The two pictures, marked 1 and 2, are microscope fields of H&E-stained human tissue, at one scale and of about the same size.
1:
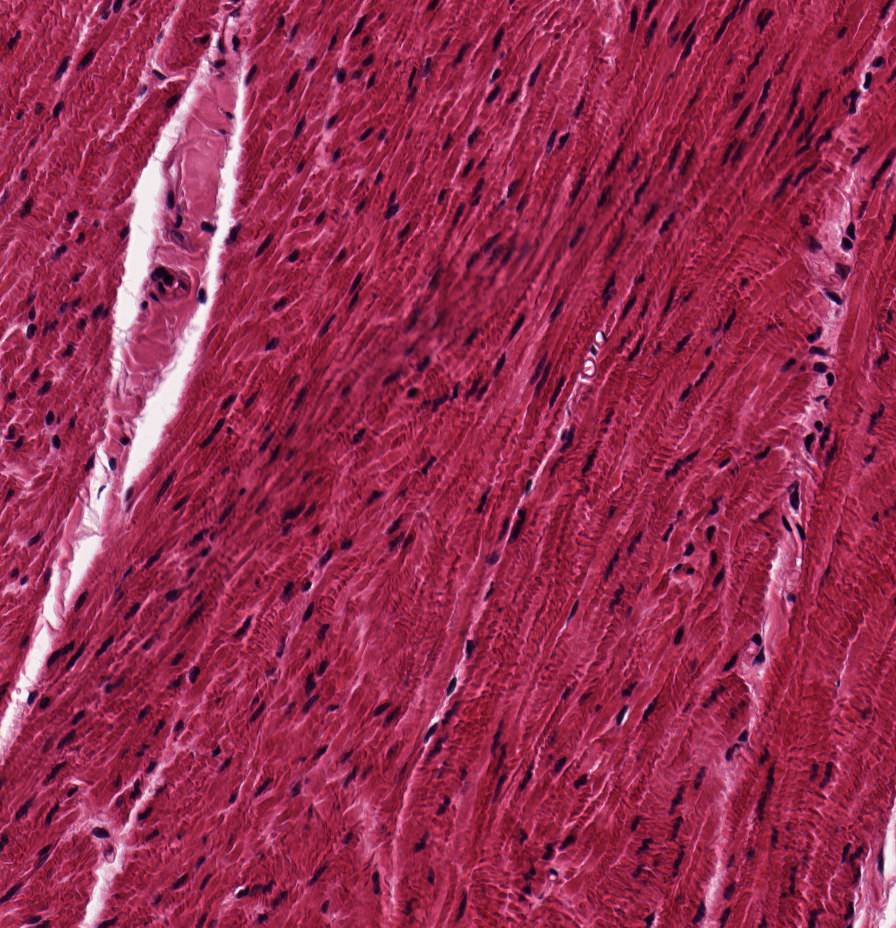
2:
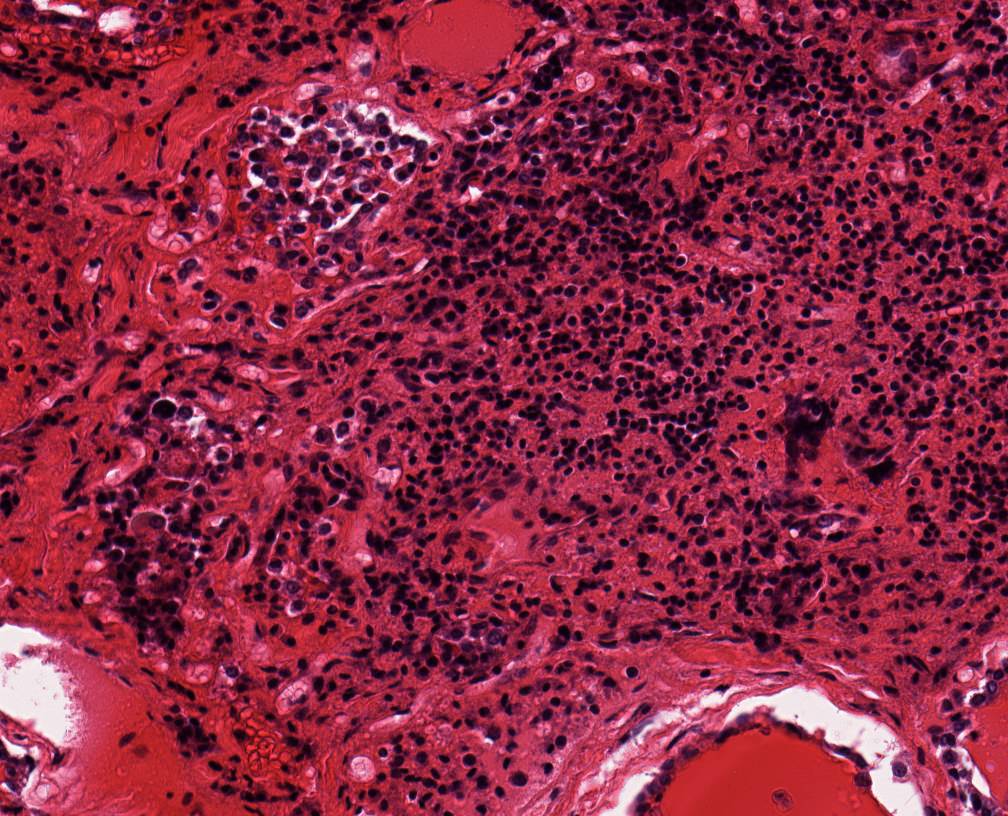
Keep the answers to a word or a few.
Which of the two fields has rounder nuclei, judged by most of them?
2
